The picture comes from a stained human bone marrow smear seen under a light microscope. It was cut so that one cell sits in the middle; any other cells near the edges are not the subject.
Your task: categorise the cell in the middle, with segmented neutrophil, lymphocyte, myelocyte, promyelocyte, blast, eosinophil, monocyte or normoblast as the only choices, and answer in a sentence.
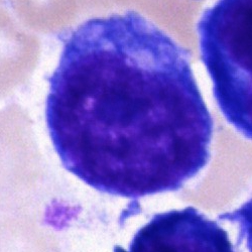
Located at the centre of the crop is a blast.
